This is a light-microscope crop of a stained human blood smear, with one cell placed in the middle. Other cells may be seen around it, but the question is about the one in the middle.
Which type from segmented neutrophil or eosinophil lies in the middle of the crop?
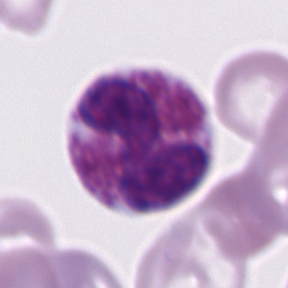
eosinophil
